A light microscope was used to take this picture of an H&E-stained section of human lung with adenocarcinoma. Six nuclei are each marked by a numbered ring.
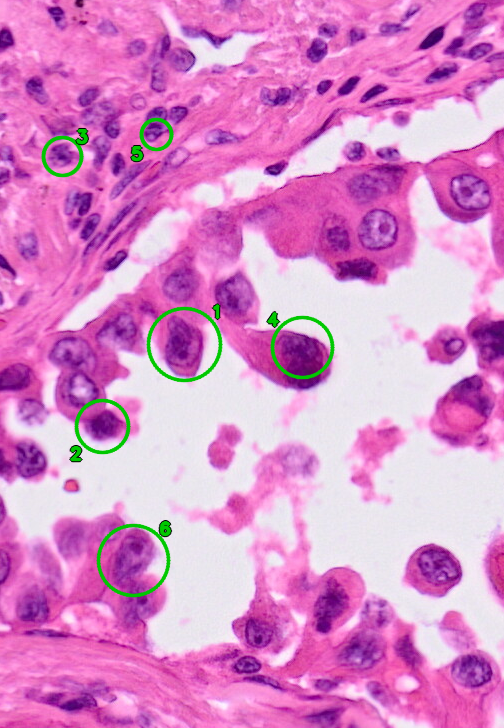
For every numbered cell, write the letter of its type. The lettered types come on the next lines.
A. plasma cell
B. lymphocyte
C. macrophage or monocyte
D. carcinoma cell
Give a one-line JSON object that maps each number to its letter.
{"1": "D", "2": "D", "3": "A", "4": "D", "5": "B", "6": "D"}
